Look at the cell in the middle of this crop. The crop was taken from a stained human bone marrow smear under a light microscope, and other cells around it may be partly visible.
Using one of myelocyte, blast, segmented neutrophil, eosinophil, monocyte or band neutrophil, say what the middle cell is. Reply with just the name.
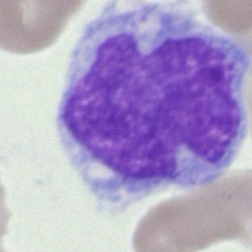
monocyte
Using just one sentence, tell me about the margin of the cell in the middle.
Its outline is ragged or drawn out into projections, not smooth.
